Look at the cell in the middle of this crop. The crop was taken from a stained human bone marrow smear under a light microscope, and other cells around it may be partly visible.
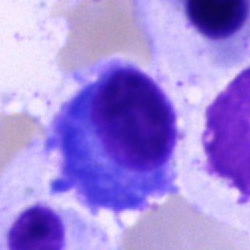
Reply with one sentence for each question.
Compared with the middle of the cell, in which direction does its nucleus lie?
The nucleus is pushed toward the upper right of the cell.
